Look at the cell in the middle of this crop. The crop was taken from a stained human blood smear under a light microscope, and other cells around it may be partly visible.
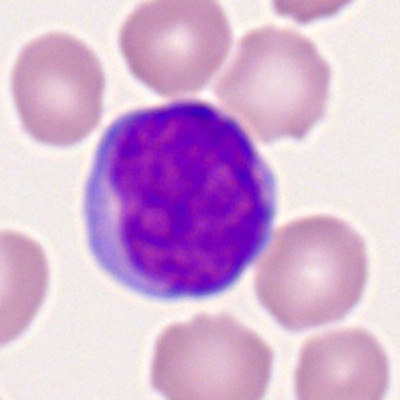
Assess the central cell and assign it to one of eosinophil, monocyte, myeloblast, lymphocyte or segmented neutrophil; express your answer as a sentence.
Present in the middle of the crop is a myeloblast.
